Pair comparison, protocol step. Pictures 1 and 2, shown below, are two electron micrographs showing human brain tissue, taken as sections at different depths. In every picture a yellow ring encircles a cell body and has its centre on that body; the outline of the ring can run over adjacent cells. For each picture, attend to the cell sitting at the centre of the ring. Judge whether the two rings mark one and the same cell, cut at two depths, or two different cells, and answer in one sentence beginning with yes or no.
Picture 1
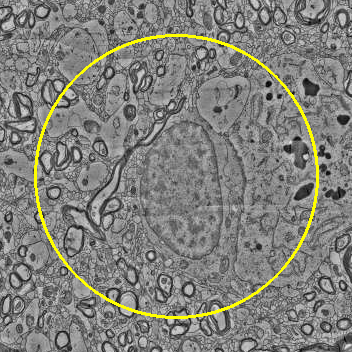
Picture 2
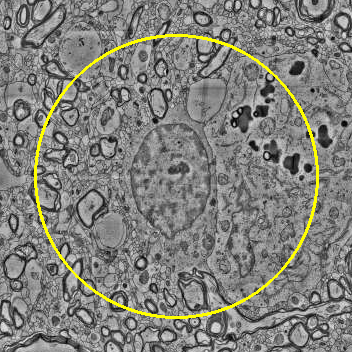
Yes, these two rings point to one cell rather than two.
